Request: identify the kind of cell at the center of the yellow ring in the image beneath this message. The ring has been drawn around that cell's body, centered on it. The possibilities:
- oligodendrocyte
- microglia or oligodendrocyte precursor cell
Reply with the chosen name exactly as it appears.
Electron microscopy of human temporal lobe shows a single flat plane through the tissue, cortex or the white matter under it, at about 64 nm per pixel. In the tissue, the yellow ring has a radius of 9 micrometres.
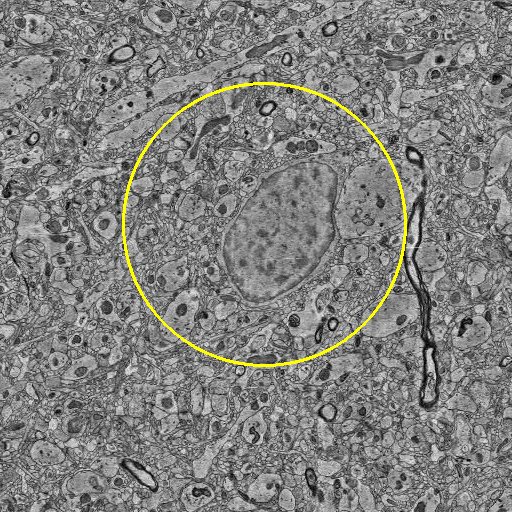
oligodendrocyte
